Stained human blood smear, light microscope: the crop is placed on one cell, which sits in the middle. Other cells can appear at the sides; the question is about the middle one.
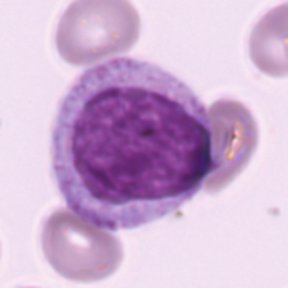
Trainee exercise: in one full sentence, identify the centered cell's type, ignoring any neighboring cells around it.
The central cell in this smear crop is a myelocyte.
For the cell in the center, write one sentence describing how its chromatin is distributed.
Heads up, the chromatin is fine with no coarse clumps in it.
